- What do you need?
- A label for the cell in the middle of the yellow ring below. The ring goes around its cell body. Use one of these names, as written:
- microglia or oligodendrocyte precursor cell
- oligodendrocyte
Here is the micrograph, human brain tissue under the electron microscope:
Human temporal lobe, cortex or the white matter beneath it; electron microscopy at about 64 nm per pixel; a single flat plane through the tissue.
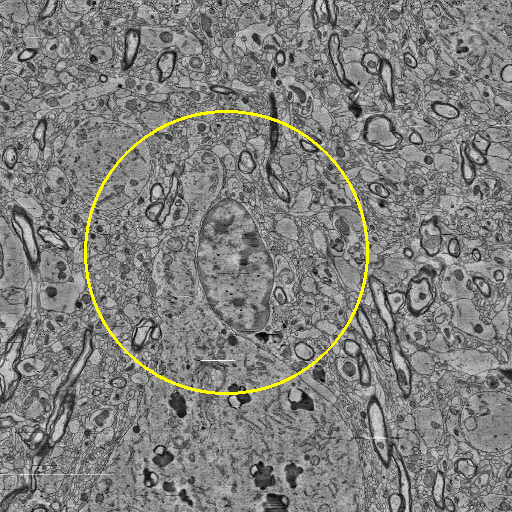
microglia or oligodendrocyte precursor cell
